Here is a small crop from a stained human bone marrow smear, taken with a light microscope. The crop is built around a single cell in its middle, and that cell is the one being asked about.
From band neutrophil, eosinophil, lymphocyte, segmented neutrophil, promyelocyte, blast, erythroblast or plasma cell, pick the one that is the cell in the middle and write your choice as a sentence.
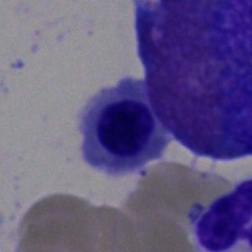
The central cell shown in this smear crop is an erythroblast.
